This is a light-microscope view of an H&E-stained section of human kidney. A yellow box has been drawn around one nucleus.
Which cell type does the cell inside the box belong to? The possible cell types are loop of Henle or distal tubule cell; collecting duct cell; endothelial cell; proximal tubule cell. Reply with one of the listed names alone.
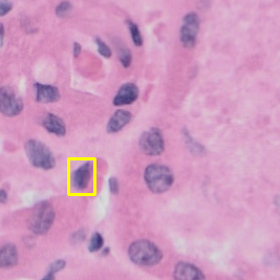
endothelial cell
